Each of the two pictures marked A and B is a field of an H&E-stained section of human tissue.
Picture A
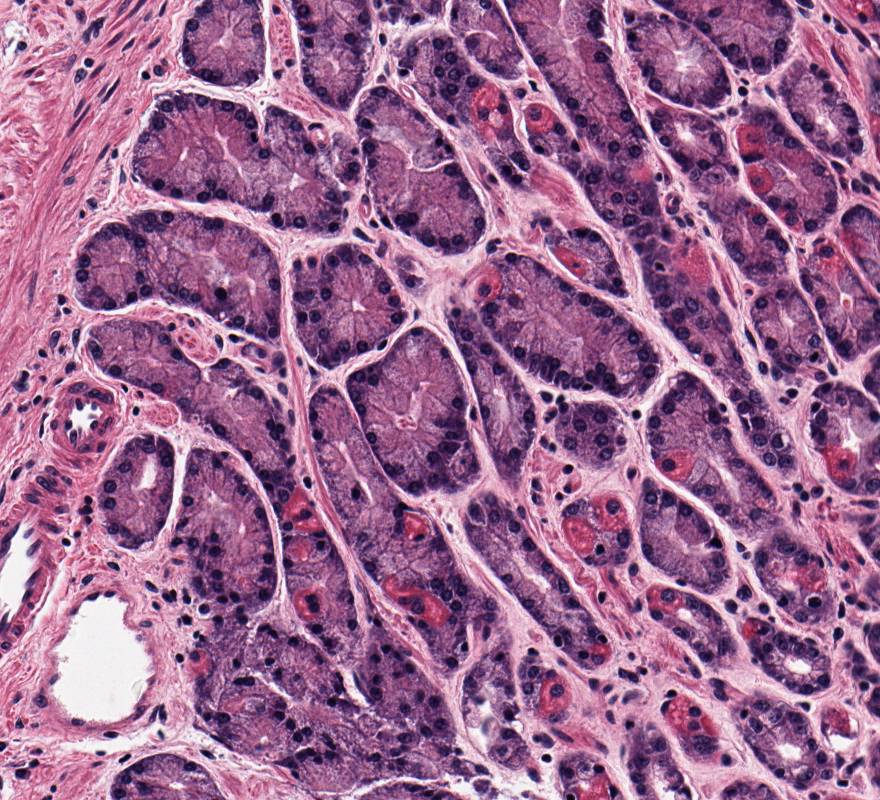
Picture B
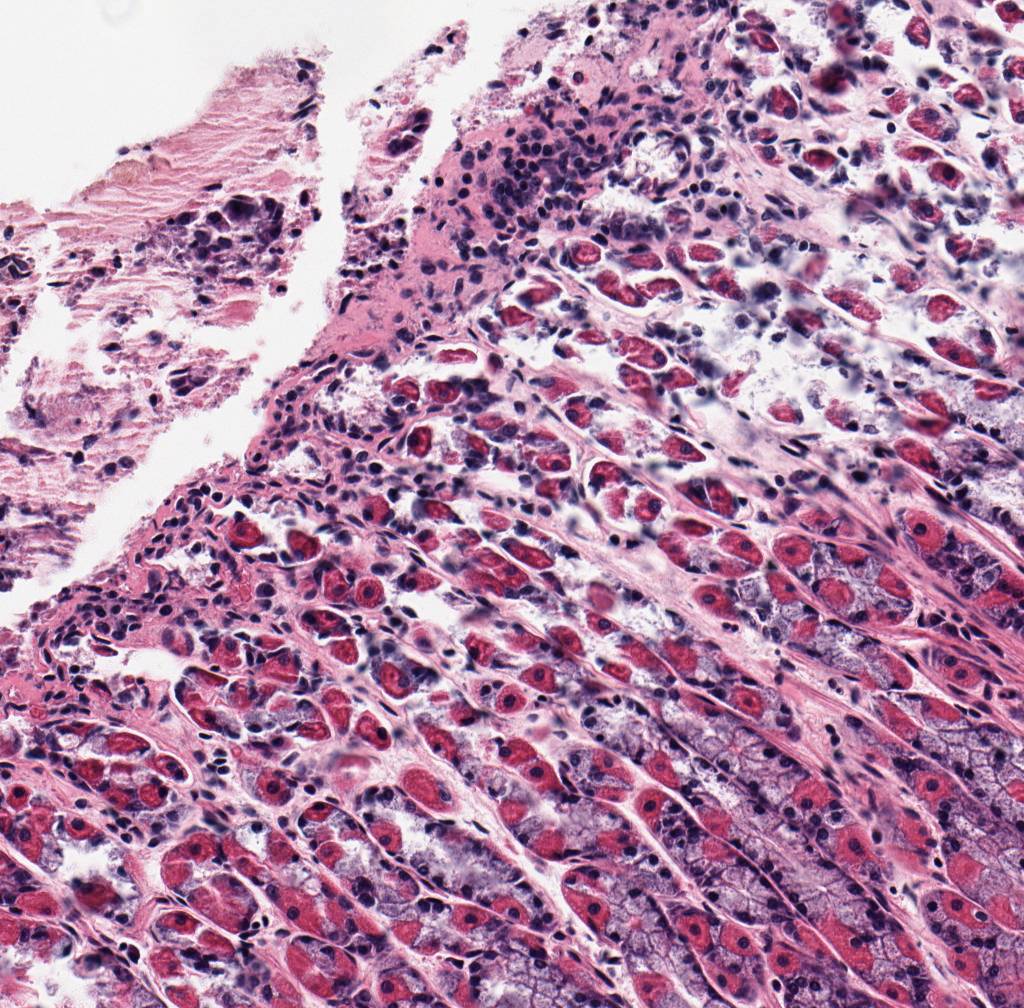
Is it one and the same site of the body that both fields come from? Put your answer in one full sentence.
Yes, the two fields both come from the stomach.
